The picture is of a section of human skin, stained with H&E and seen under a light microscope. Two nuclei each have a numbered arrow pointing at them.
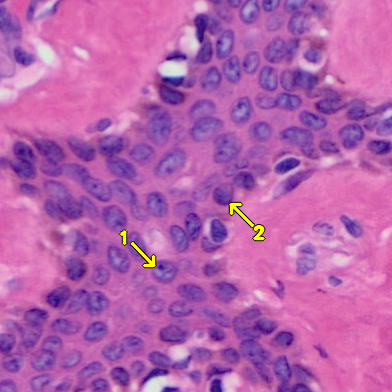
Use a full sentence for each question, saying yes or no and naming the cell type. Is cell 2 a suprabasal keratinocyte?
No, the one with number 2 is a basal keratinocyte, not a suprabasal keratinocyte.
